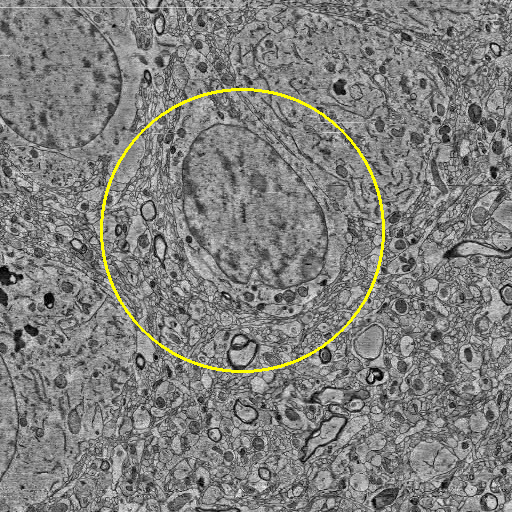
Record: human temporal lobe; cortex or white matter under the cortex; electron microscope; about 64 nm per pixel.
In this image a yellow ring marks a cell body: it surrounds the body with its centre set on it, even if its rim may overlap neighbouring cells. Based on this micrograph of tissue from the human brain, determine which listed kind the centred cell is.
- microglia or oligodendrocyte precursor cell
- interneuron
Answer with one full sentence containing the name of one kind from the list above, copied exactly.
It is an interneuron whose body the yellow ring encloses at its centre.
